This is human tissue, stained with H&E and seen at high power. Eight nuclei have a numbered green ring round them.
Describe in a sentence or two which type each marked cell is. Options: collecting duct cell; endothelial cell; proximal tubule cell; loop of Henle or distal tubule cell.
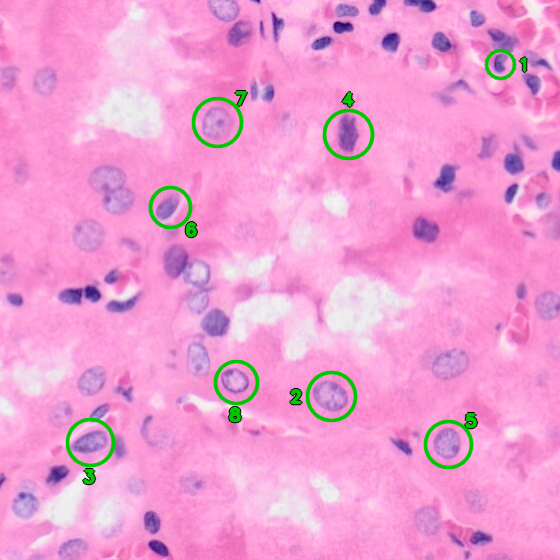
Cells 1 and 6 are endothelial cells. Cells 2, 4, 5, 7 and 8 are proximal tubule cells. Cell 3 is a collecting duct cell.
